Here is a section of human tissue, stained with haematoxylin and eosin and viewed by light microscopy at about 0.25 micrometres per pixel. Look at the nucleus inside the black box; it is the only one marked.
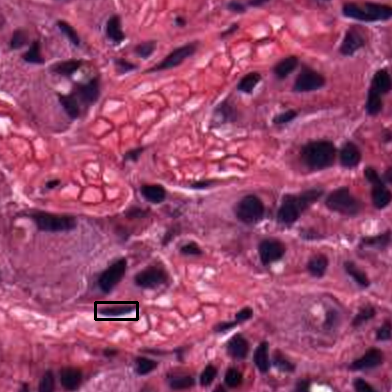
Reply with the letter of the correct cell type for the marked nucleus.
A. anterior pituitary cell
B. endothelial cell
B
